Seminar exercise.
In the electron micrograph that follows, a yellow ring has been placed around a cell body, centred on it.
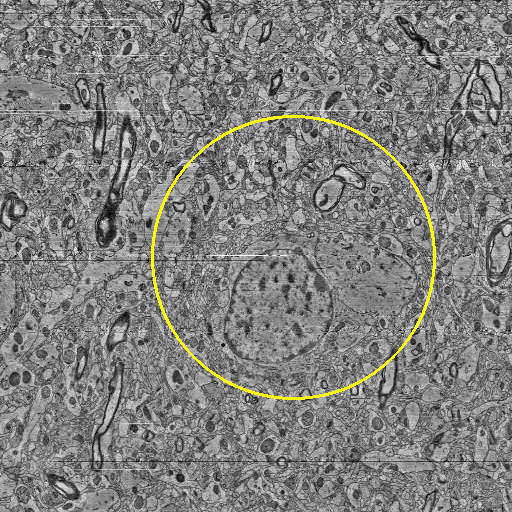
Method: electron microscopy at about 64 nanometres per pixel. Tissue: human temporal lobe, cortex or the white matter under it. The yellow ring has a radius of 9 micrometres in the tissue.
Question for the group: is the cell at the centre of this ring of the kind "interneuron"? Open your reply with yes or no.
No, the cell in the ring's centre is of another kind.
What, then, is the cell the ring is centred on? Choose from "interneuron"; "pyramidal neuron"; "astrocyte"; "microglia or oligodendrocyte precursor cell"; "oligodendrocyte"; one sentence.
The cell at the middle of the ring is a microglial cell or oligodendrocyte precursor cell.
